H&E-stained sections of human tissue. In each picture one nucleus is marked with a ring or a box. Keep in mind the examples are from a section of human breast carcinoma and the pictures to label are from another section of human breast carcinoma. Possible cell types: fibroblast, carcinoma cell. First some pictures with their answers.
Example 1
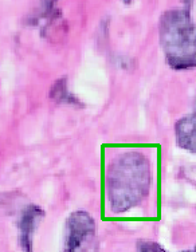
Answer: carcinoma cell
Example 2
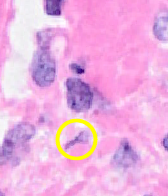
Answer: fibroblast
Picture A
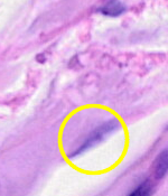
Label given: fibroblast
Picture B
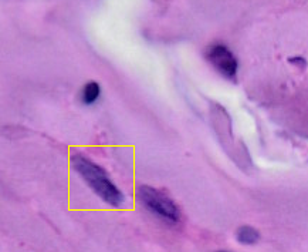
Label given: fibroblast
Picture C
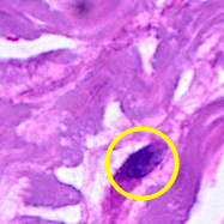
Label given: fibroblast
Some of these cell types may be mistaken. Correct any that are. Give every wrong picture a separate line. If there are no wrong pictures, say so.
Nothing to fix; every label fits.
